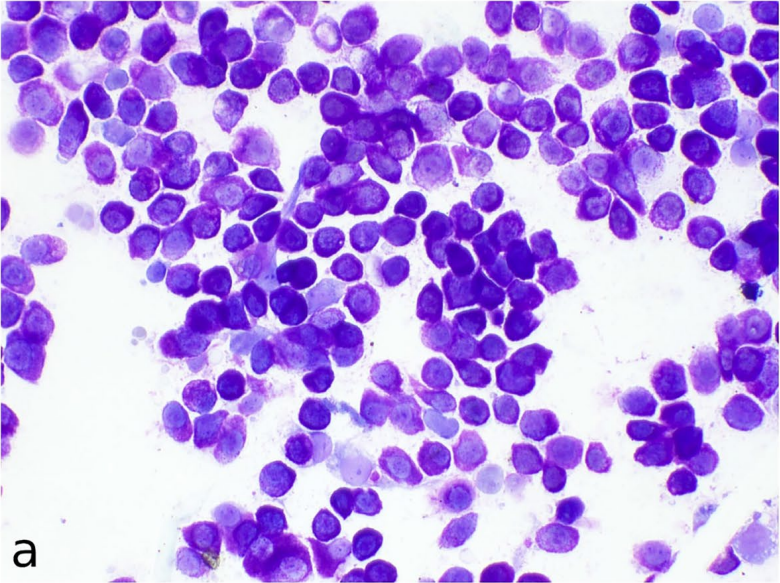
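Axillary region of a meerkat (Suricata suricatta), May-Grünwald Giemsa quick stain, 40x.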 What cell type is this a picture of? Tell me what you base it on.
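Well-differentiated mast cells. Dense population of discrete, round individual cells. Cells have round central to eccentric nuclei and abundant cytoplasm. Cytoplasm is stained purple to violet, obscuring the nucleus in many cells.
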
